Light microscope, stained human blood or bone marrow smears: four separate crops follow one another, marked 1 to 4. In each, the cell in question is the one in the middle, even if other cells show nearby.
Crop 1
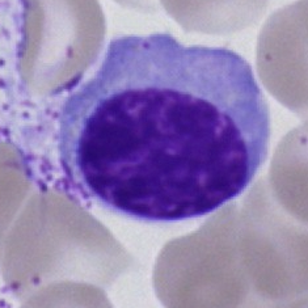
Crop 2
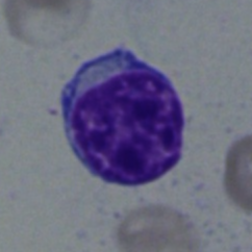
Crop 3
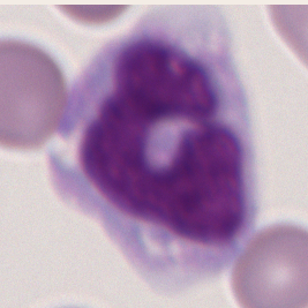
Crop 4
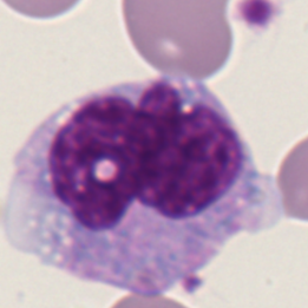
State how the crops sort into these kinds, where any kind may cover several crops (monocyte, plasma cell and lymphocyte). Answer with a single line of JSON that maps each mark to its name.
{"1": "plasma cell", "2": "lymphocyte", "3": "monocyte", "4": "monocyte"}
